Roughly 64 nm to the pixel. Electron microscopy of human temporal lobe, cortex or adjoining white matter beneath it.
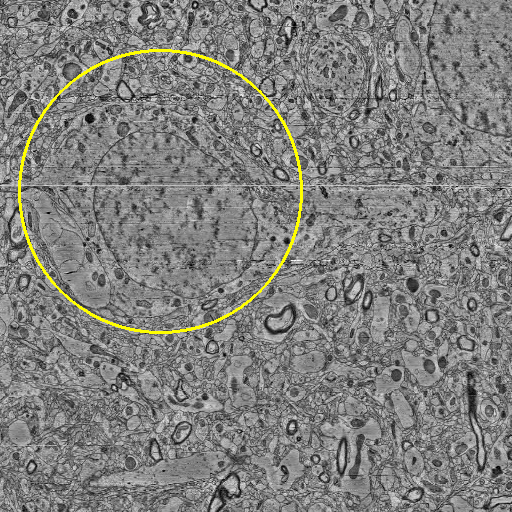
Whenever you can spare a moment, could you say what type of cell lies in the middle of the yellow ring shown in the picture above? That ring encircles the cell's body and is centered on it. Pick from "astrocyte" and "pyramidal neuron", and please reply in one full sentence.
The cell whose body sits at the middle of the yellow ring is a pyramidal neuron.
